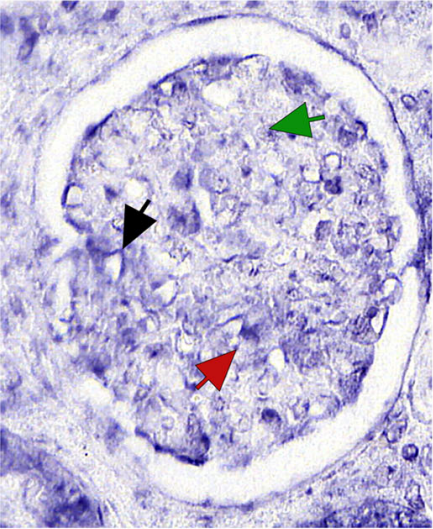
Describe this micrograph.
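A clear white Bowman's space separates the tuft from the thin capsule wall. The tuft is made of many closely packed cells with purple-stained cytoplasm and nuclei, interspersed with small pale capillary lumina. Cells sit on the outer surface of the tuft facing Bowman's space as well as deep within it between the capillary loops.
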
